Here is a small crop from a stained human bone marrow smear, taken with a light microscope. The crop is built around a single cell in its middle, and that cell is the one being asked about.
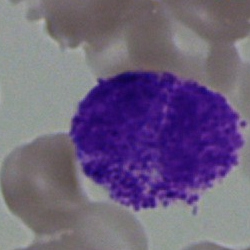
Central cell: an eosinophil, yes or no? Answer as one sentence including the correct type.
No, the cell occupying the centre is a basophil, not an eosinophil.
